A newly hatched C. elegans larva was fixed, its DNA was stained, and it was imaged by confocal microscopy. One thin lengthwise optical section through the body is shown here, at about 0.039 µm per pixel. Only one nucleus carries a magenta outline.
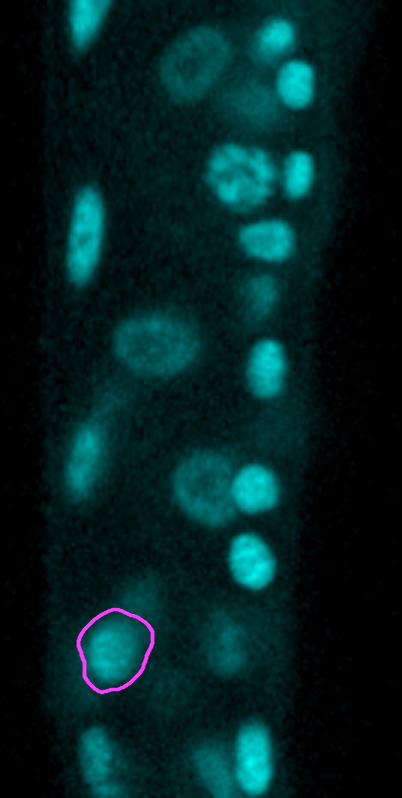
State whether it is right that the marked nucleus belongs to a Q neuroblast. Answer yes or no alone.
yes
